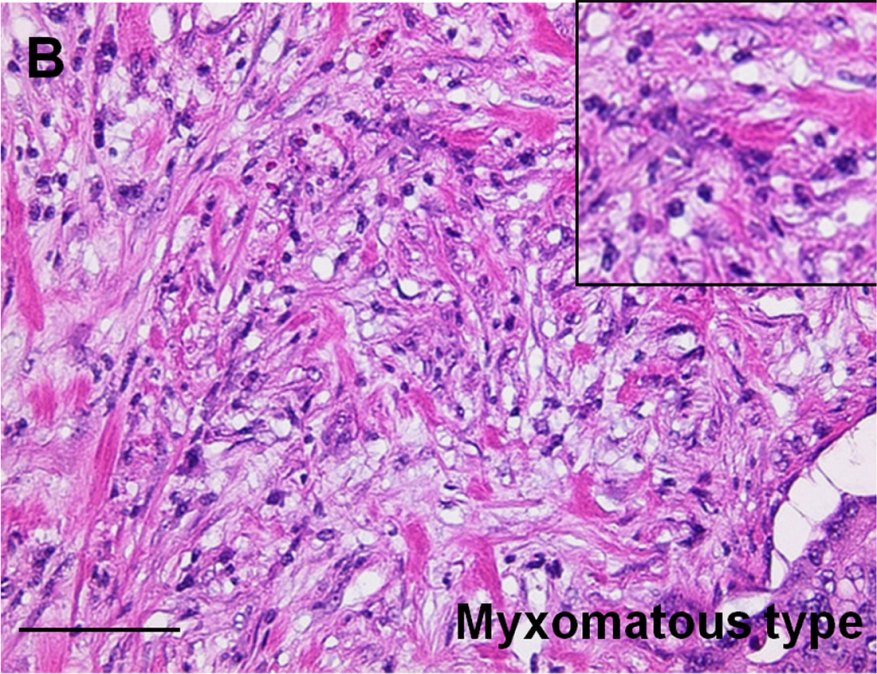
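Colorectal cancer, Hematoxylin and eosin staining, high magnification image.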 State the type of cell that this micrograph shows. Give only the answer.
Small spindle stromal cells.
